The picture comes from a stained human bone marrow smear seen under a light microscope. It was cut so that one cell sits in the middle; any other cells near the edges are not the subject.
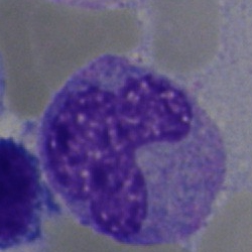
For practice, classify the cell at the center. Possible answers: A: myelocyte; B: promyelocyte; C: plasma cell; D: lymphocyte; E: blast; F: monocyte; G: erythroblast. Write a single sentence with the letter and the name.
The correct option, F, names the middle cell as a monocyte.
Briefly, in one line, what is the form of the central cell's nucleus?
Have a look at the nucleus, which is one compact mass, round, oval or kidney-shaped.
